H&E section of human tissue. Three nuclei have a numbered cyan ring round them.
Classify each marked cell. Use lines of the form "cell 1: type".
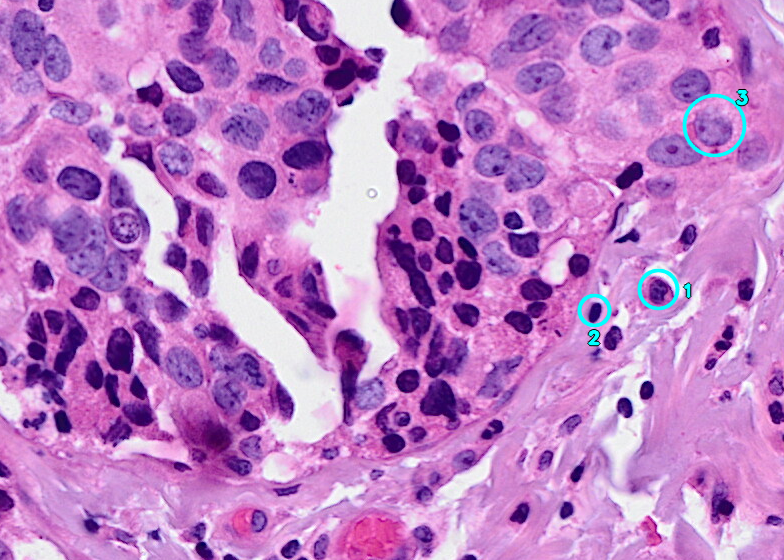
cell 1: mast cell
cell 2: lymphocyte
cell 3: carcinoma cell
